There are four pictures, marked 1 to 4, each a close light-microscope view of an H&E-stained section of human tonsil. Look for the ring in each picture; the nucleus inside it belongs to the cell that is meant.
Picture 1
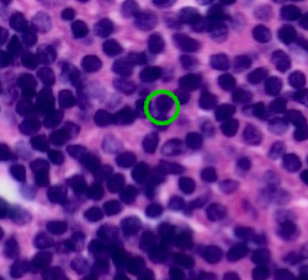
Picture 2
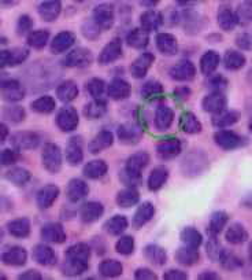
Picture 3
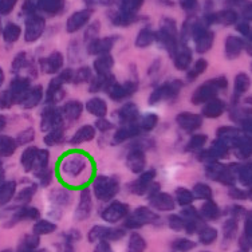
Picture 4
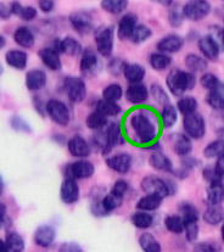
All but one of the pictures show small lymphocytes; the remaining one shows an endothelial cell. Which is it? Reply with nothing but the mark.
3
